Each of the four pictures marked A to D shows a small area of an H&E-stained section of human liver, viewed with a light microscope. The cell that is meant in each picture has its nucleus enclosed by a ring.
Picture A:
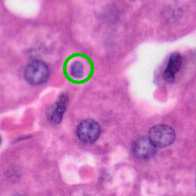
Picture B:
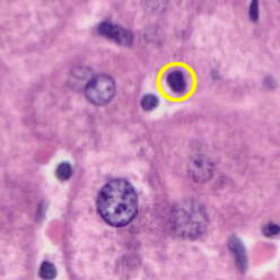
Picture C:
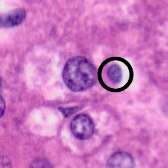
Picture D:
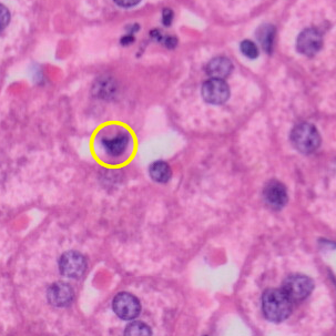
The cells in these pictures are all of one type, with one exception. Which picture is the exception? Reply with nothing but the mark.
D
